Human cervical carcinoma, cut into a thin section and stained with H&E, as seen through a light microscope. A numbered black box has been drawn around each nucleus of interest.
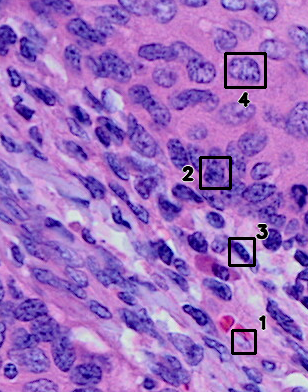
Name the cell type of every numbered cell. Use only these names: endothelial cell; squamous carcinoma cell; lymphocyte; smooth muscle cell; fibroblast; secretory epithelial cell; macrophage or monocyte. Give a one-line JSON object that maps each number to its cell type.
{"1": "endothelial cell", "2": "squamous carcinoma cell", "3": "lymphocyte", "4": "squamous carcinoma cell"}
